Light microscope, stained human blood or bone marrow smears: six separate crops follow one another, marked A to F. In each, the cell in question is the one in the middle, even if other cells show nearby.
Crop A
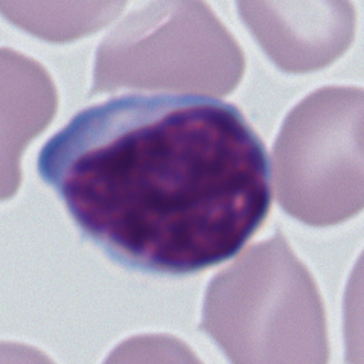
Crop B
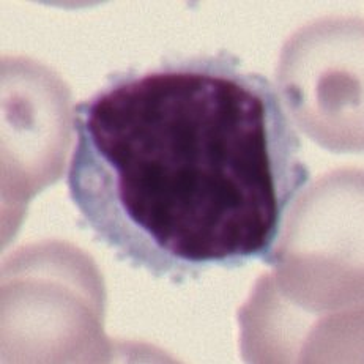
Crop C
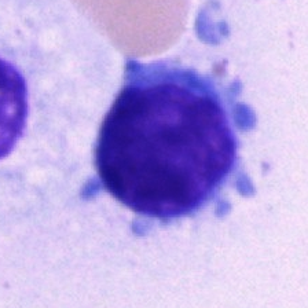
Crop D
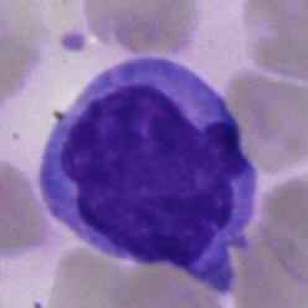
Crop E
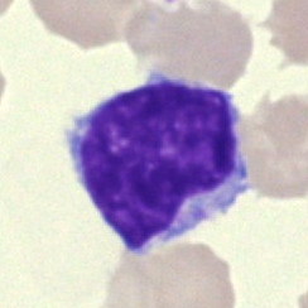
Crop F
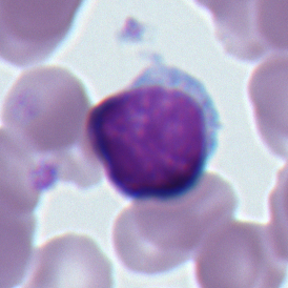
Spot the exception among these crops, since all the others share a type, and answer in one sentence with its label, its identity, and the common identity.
The different one is crop D, which is a monocyte; the rest all show lymphocytes.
